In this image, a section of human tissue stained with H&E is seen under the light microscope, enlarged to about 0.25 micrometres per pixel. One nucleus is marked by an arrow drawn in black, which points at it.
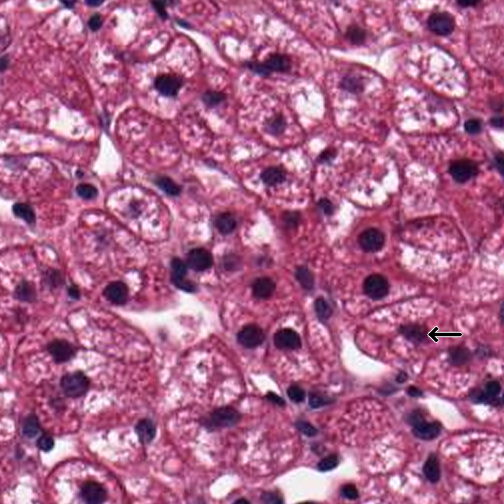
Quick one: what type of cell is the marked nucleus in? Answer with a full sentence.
The marked nucleus is part of an adrenal cortical cell.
